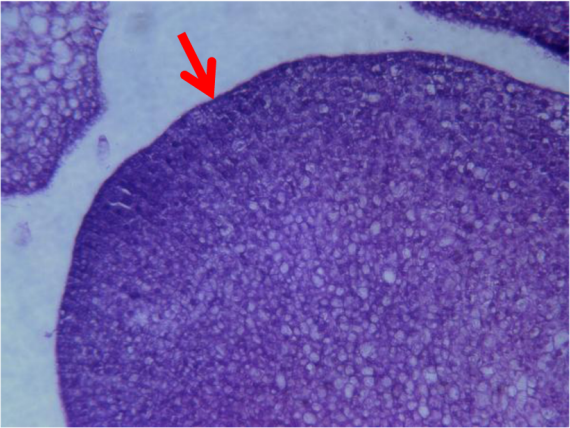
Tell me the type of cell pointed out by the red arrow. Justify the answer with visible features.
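The arrow points to the outer edge of a rounded tissue mass. Cells at the surface are small and stain dark purple. Cells deeper inside show more pale, clear spaces.
Embryogenic cells.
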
